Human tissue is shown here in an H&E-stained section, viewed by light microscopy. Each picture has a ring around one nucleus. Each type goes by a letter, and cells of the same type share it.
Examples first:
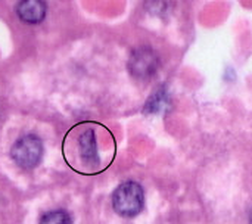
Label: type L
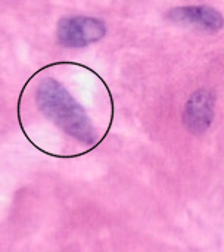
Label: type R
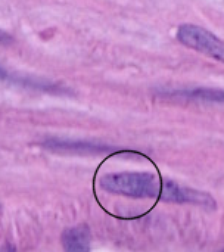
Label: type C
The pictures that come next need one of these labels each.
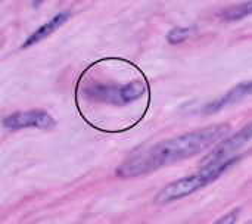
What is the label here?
type C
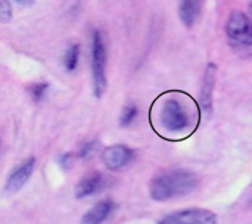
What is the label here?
type R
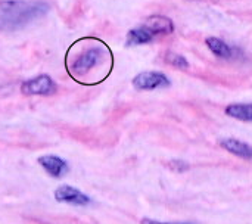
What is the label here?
type C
